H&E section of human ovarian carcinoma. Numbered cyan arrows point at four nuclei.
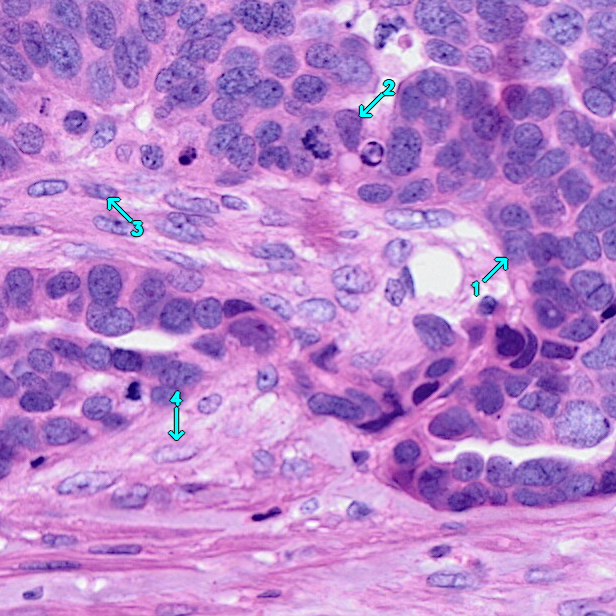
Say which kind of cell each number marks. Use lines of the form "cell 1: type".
cell 1: carcinoma cell
cell 2: carcinoma cell
cell 3: fibroblast
cell 4: fibroblast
